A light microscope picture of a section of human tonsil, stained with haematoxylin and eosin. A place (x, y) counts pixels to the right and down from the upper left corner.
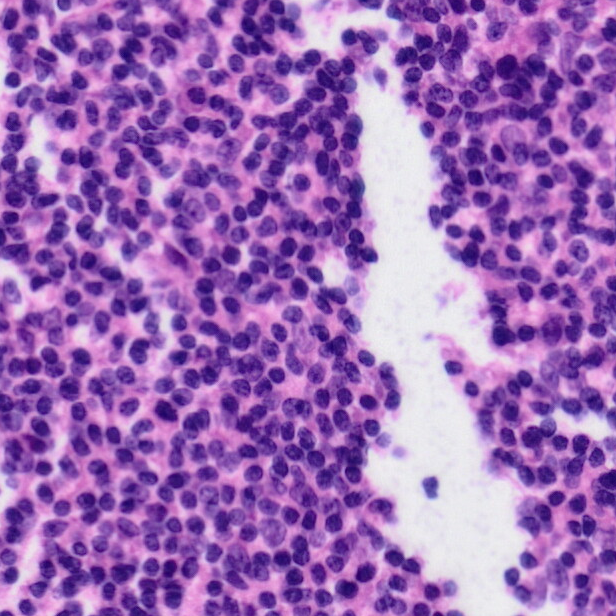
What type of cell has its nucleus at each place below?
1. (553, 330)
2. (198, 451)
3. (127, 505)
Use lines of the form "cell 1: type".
cell 1: proliferating B cell
cell 2: small lymphocyte
cell 3: small lymphocyte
